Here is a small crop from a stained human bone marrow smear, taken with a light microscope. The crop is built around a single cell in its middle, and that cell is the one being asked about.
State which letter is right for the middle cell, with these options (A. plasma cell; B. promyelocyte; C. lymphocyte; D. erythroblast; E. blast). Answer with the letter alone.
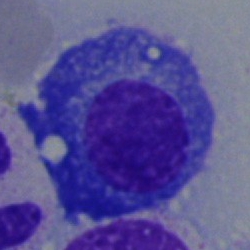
A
